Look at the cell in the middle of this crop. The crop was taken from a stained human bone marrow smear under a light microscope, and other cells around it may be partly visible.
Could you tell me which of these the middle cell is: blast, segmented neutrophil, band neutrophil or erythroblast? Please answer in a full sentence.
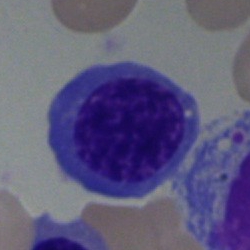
The cell centred in this crop is categorized as an erythroblast.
